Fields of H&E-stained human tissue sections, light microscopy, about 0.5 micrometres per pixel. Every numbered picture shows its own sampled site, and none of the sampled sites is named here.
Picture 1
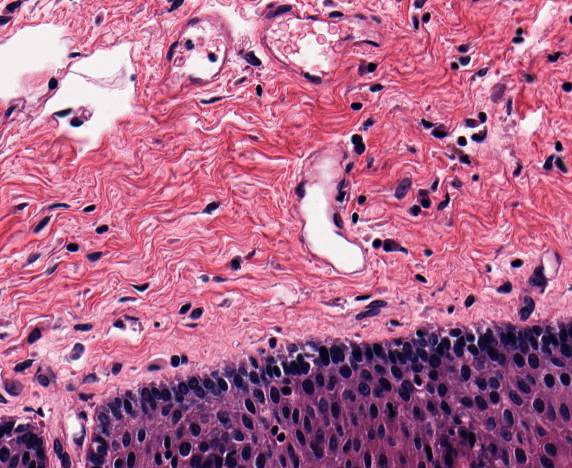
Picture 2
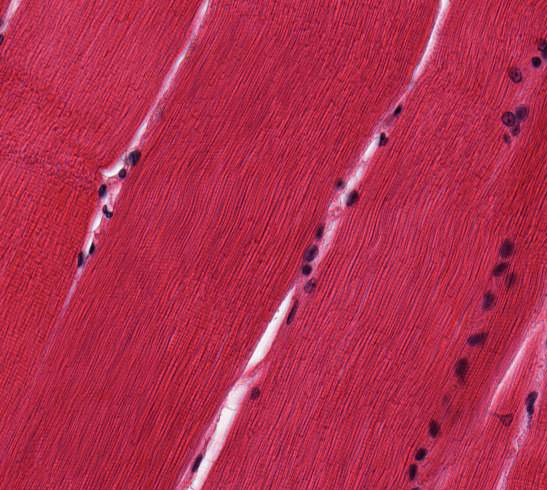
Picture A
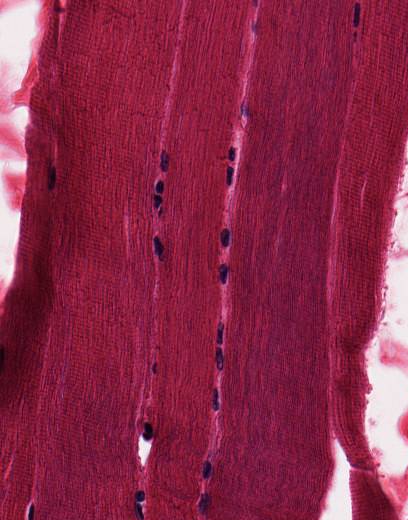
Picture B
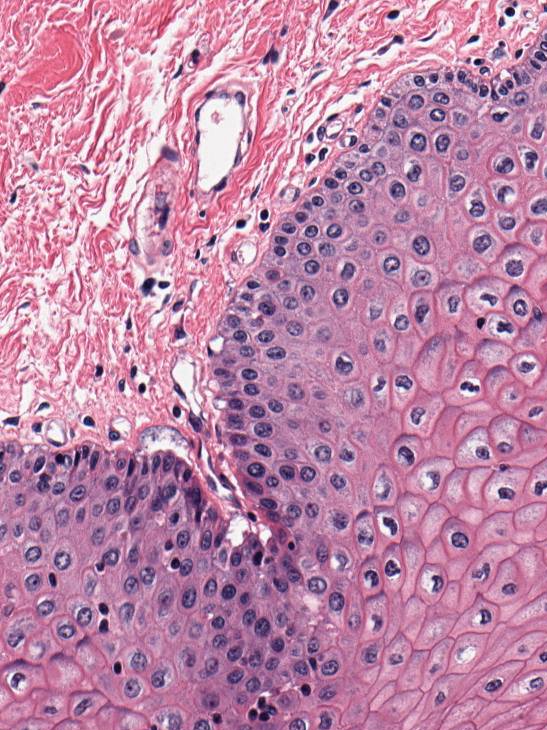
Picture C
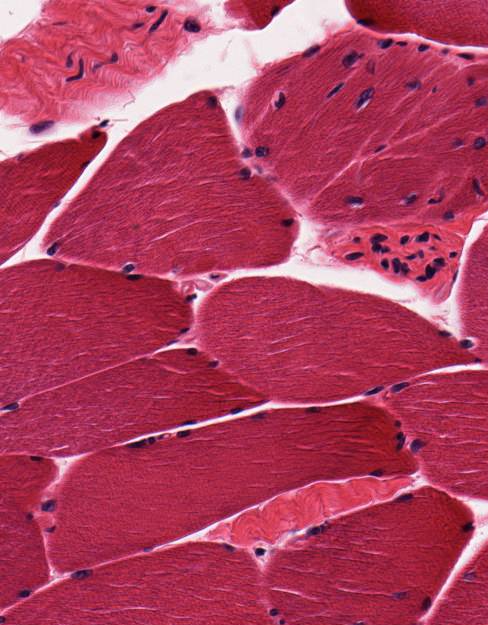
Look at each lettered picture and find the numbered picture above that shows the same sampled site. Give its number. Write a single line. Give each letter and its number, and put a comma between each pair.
A 2, B 1, C 2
